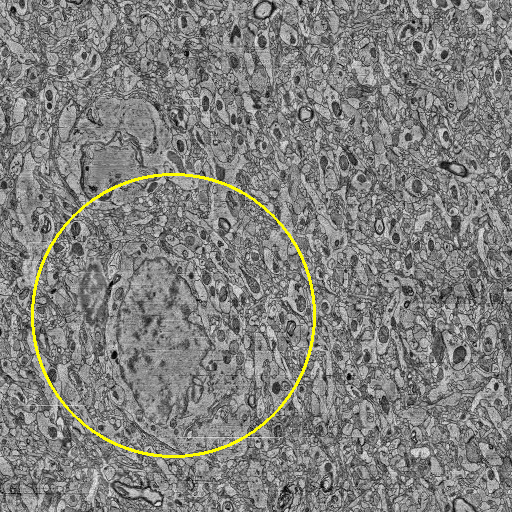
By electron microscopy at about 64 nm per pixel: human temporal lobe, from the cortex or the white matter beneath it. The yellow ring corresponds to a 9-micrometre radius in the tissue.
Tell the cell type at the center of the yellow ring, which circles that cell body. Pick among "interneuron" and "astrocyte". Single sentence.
The ring is centered on the body of an interneuron.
